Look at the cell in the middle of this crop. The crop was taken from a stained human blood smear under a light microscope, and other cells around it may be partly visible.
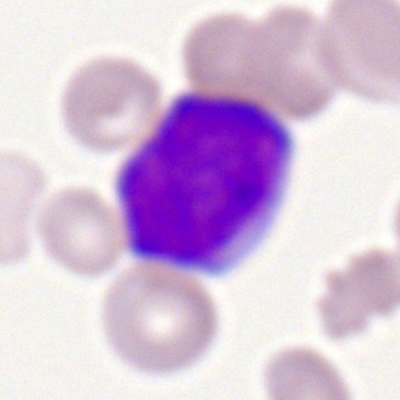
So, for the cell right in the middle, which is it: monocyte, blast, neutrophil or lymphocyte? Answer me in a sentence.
On this slide crop, the central cell is a blast.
